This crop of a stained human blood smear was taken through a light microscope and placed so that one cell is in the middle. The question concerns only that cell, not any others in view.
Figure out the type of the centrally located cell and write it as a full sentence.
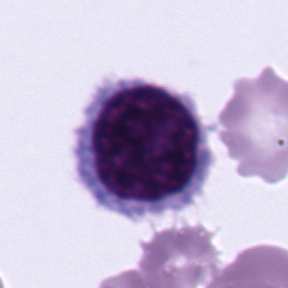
The middle of this crop holds a hairy cell.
